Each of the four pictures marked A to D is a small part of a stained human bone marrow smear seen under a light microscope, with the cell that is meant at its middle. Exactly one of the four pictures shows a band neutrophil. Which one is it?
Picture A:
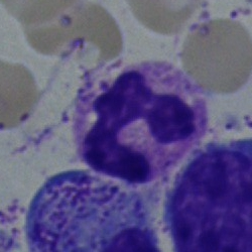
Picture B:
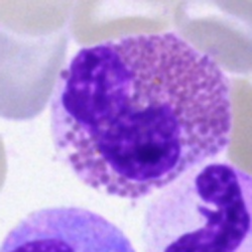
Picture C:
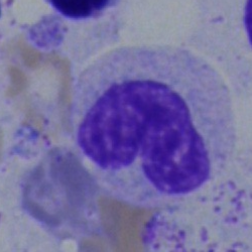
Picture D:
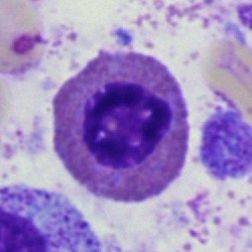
C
